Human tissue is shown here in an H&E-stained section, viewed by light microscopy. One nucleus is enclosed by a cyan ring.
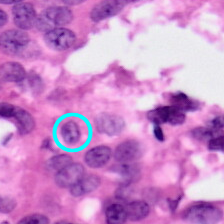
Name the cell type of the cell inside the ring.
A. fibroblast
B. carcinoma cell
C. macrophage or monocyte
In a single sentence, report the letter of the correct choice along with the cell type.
The correct response is option C: the cell inside the ring is a macrophage or monocyte.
